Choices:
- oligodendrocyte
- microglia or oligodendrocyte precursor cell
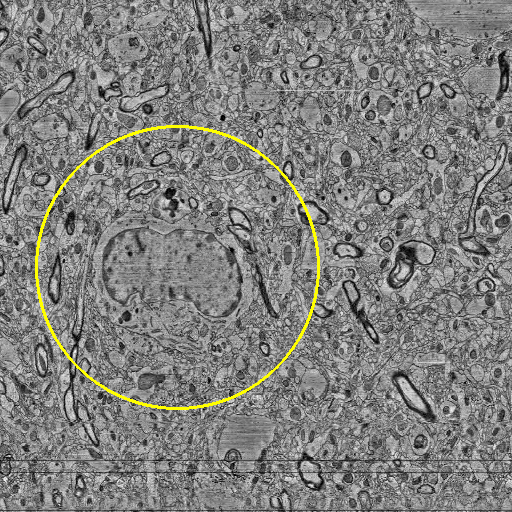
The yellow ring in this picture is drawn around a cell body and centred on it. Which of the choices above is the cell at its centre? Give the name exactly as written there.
microglia or oligodendrocyte precursor cell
